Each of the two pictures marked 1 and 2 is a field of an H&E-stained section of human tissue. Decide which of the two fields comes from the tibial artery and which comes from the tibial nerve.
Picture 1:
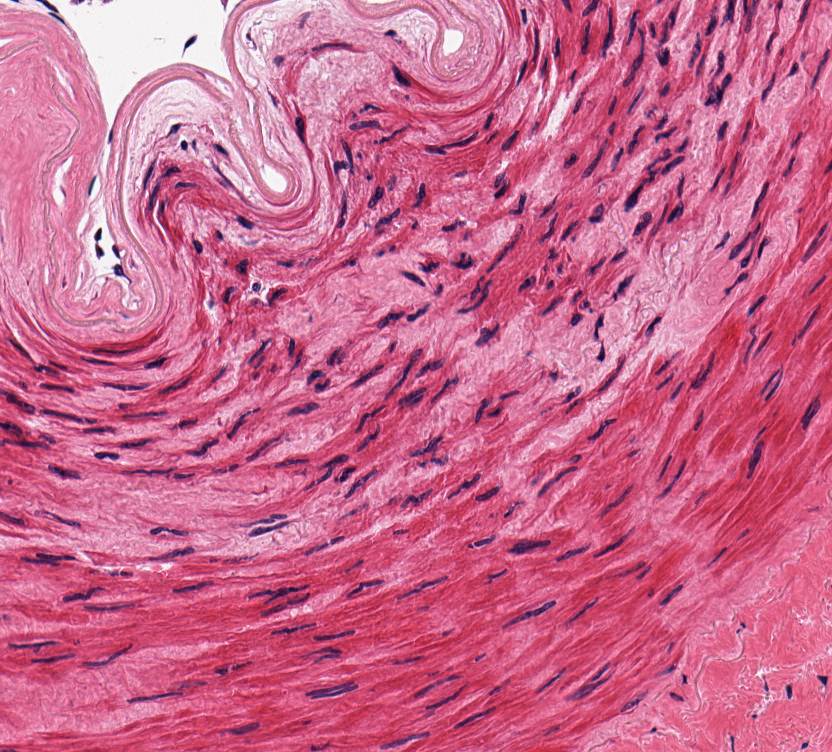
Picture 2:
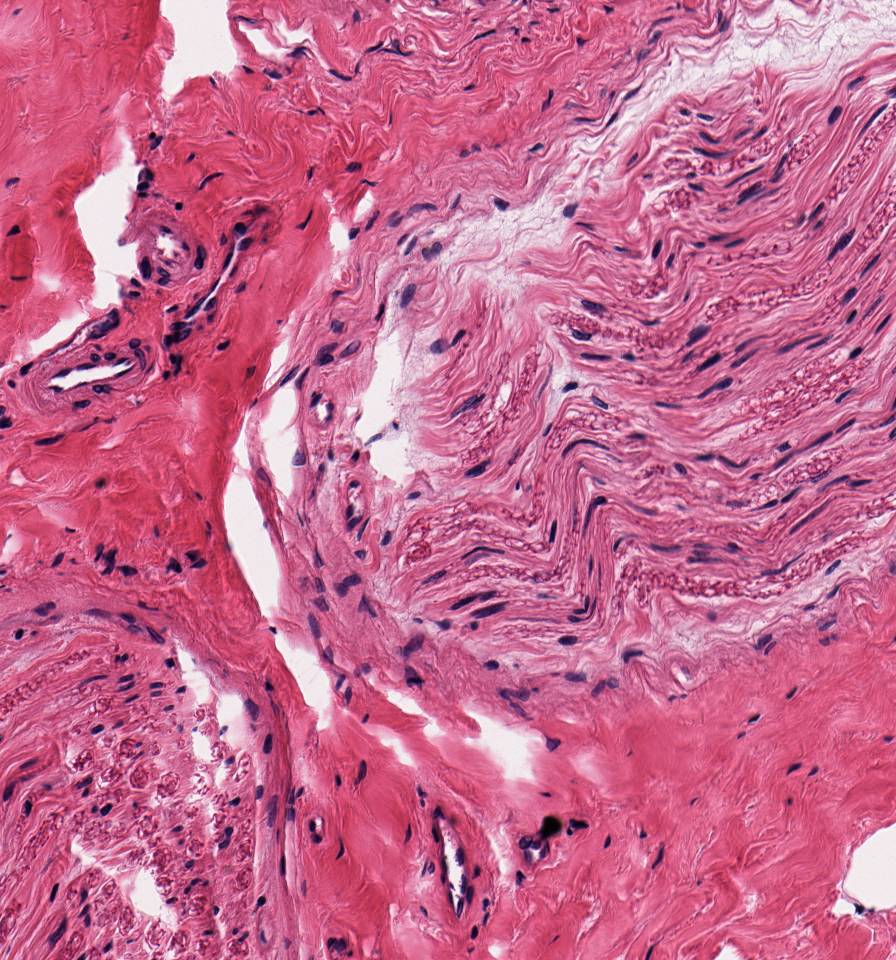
1: tibial artery
2: tibial nerve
